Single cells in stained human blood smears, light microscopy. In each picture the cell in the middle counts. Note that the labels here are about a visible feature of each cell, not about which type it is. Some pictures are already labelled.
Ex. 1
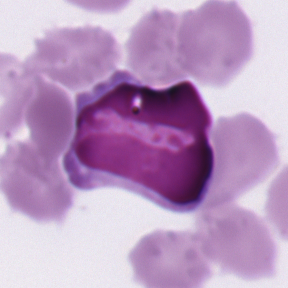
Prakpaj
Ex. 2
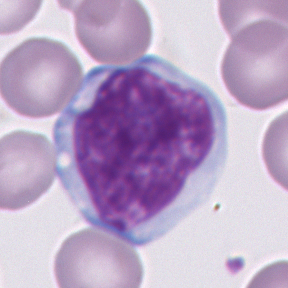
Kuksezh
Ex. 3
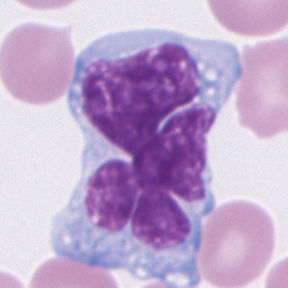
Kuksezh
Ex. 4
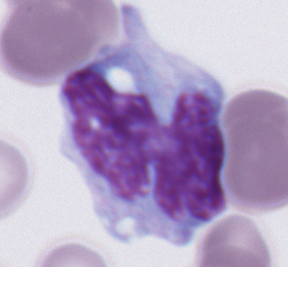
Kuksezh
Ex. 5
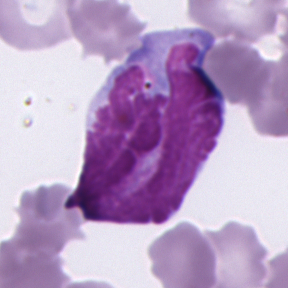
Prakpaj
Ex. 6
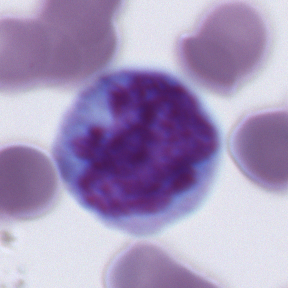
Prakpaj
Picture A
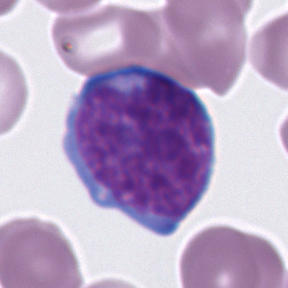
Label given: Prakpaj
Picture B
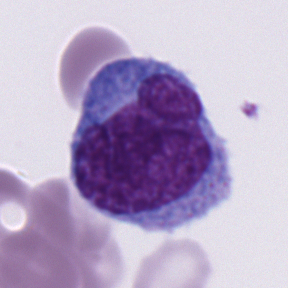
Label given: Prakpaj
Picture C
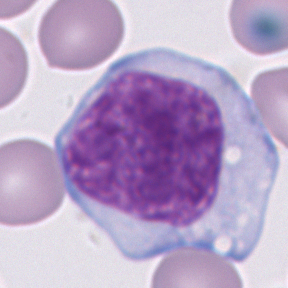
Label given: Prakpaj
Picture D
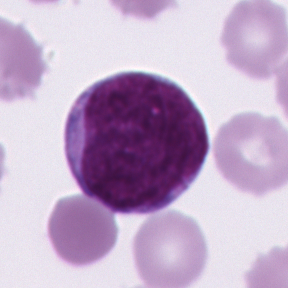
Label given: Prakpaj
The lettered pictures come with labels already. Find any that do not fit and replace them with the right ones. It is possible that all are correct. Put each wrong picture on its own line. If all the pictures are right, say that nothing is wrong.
C: not Prakpaj but Kuksezh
